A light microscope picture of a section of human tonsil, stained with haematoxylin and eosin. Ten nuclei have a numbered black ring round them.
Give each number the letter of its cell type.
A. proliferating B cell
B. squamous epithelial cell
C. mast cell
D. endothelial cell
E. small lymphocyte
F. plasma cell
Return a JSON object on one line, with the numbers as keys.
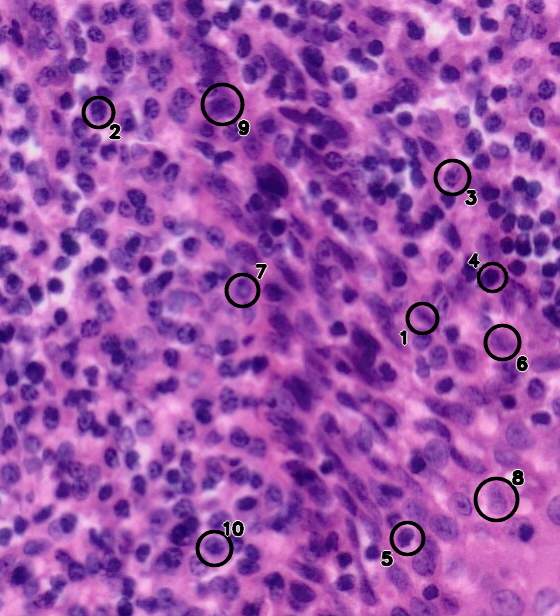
{"1": "B", "2": "F", "3": "F", "4": "B", "5": "B", "6": "B", "7": "F", "8": "B", "9": "B", "10": "F"}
